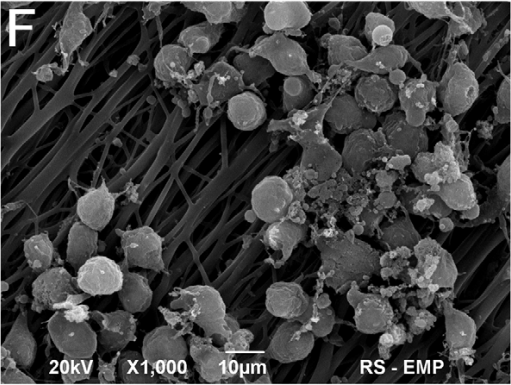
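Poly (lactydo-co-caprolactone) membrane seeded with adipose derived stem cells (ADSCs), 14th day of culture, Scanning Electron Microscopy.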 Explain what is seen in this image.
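Many cells are rounded, while others are flattened and irregular, with extensions spreading over the fibres. Cells gather in a dense cluster on the right, with granular material among them.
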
